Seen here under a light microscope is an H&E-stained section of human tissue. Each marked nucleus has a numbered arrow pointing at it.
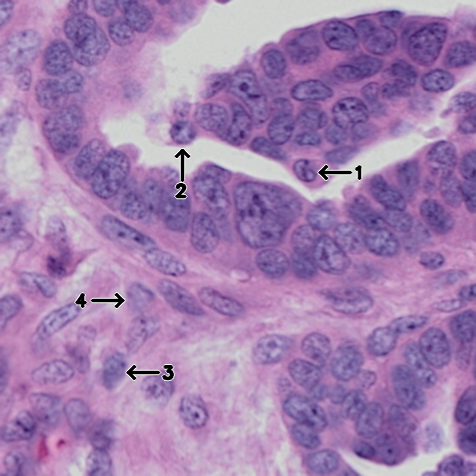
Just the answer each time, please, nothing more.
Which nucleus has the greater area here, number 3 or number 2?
3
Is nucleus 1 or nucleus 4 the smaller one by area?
1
